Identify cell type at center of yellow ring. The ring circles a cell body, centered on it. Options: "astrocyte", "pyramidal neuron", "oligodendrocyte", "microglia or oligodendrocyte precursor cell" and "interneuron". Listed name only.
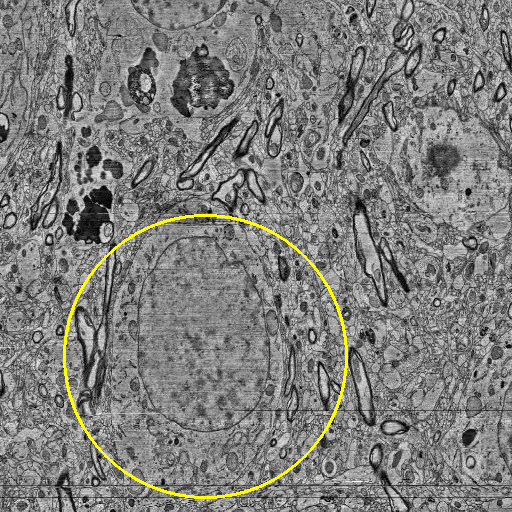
pyramidal neuron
